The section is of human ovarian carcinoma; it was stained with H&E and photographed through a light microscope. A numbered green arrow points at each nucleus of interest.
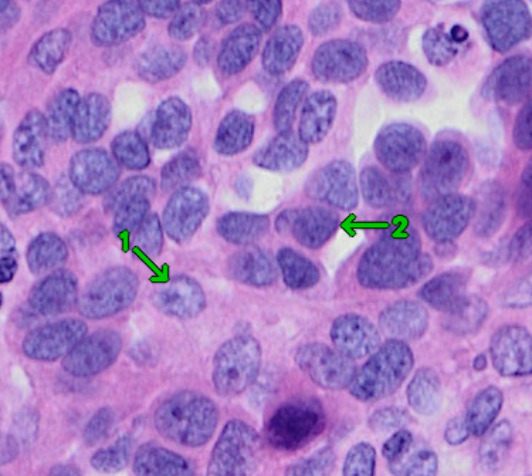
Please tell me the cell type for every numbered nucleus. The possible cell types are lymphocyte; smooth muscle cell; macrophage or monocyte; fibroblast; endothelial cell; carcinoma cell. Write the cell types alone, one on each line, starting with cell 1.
fibroblast
carcinoma cell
